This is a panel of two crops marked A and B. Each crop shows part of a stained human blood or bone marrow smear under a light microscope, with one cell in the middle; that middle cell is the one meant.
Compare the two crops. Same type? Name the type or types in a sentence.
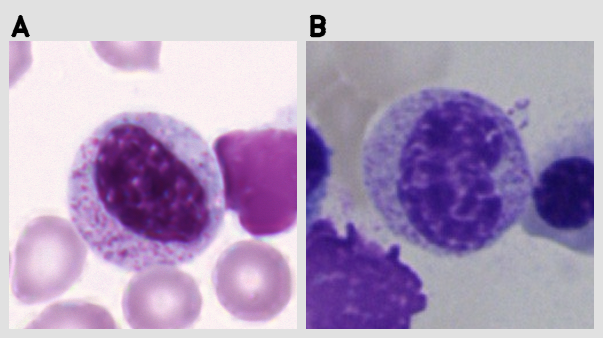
Yes, with regard to both crops, the central cells are metamyelocytes.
